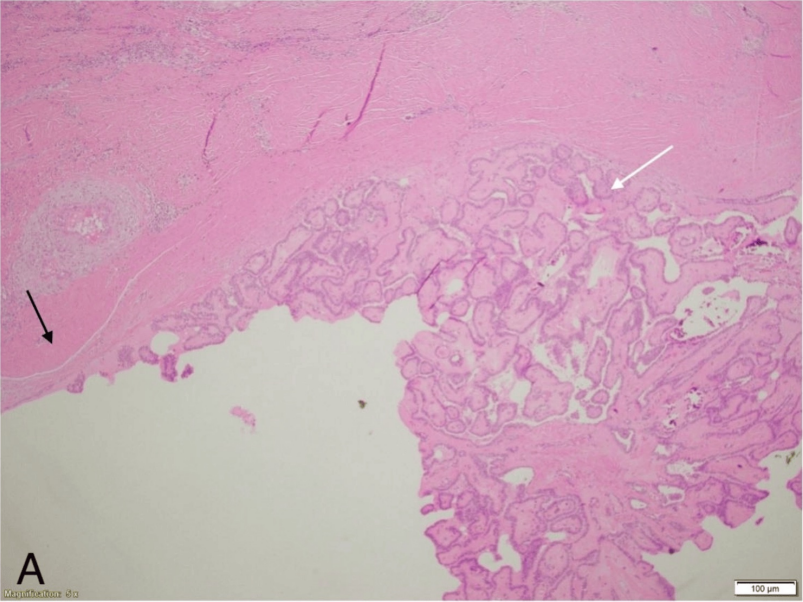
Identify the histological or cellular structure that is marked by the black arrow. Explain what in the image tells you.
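Cyst wall. A dense pink fibrous band forms the edge of the empty cavity. The band lies beside the papillary fronds and borders the open space.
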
